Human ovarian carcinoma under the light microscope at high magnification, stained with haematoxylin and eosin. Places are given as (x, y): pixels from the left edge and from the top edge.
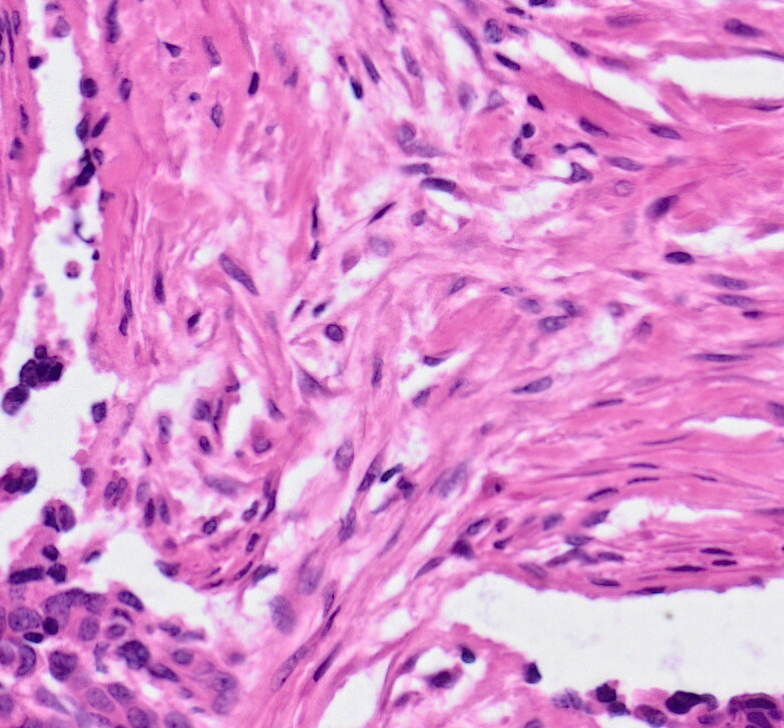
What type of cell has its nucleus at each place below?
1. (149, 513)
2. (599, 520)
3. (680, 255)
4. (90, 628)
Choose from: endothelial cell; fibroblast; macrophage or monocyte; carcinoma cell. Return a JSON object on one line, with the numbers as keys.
{"1": "fibroblast", "2": "fibroblast", "3": "fibroblast", "4": "carcinoma cell"}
